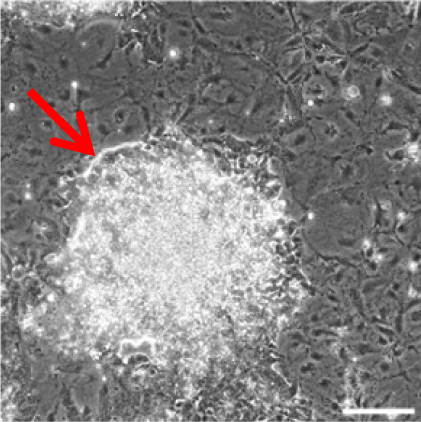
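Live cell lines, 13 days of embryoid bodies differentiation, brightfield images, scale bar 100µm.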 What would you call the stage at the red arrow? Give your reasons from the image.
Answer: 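The arrow points to the edge of a dense, bright, dome-like colony. The colony's cells are tightly packed so single cells cannot be told apart. Flattened, scattered cells lie around the colony. That points to this answer: Colonies retaining an undifferentiated morphology.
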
